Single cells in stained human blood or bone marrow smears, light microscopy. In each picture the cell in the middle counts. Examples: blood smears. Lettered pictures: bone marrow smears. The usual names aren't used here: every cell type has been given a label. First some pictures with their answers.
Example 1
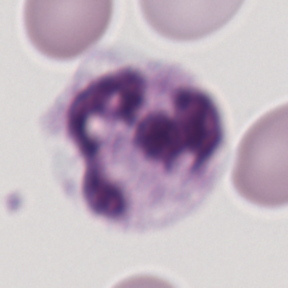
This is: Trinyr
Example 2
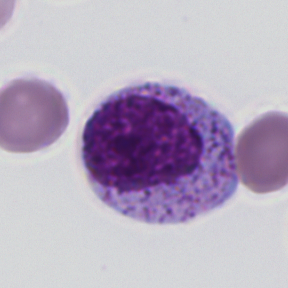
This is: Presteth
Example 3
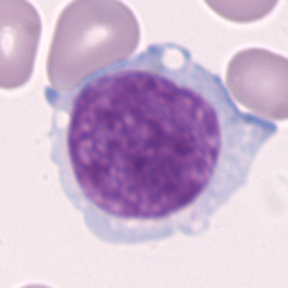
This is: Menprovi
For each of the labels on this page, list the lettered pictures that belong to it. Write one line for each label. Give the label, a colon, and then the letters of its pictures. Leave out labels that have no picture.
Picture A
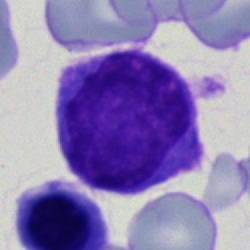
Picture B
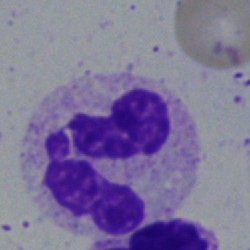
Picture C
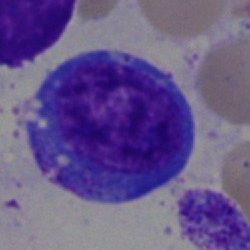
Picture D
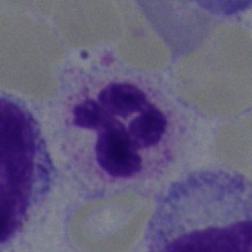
Trinyr: B, D
Menprovi: A, C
